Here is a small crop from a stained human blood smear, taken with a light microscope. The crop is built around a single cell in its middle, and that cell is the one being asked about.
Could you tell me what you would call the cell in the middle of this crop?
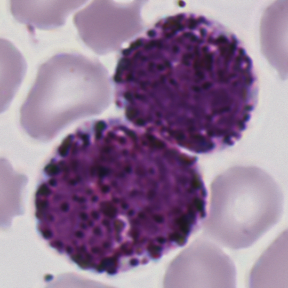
basophil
